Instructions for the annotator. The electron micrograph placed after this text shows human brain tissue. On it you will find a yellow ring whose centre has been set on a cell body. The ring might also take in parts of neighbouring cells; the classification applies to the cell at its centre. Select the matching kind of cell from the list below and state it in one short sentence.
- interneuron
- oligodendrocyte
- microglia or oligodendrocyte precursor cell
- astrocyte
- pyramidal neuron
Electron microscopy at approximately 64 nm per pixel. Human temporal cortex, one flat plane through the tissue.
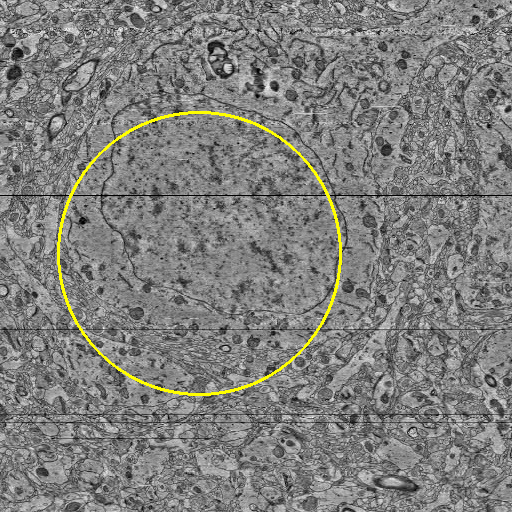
The ring is drawn on the cell body of a pyramidal neuron.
